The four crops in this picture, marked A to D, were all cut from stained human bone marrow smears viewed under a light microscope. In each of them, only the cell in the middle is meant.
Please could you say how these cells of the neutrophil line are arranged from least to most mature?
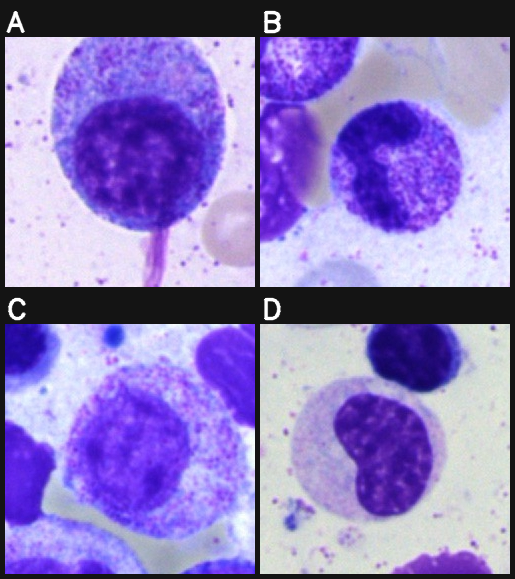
A, C, D, B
